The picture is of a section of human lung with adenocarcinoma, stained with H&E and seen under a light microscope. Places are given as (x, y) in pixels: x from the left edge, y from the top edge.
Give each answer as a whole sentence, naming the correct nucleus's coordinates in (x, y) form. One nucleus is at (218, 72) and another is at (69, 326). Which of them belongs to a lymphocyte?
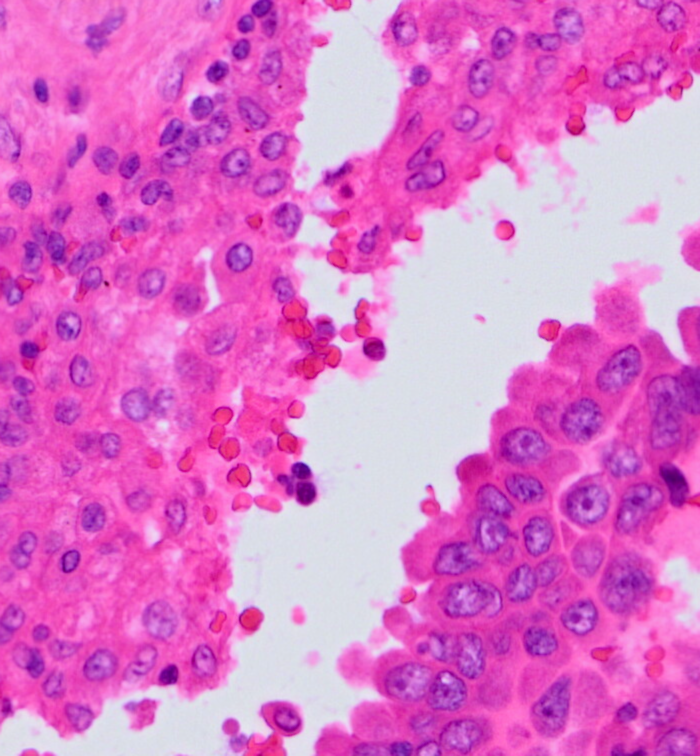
Of the two nuclei present, the one at (218, 72) is within a lymphocyte.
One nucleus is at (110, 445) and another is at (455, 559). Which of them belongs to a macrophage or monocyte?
The nucleus situated at (110, 445) is the one belonging to a macrophage or monocyte.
